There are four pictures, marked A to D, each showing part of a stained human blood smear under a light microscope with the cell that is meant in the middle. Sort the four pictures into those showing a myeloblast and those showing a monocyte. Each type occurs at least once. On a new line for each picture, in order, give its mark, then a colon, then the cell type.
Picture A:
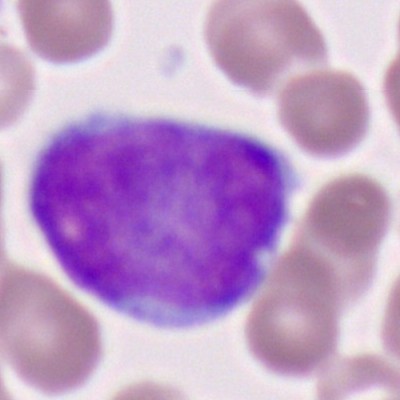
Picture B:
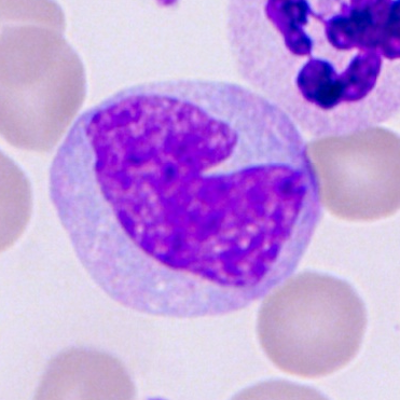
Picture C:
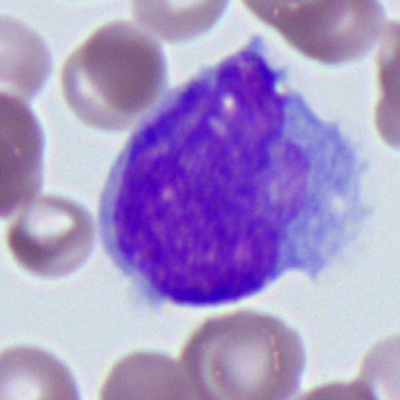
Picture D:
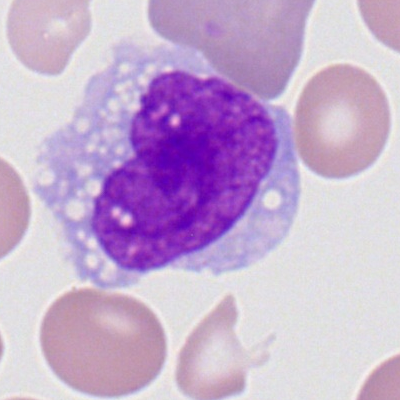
A: myeloblast
B: monocyte
C: monocyte
D: monocyte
